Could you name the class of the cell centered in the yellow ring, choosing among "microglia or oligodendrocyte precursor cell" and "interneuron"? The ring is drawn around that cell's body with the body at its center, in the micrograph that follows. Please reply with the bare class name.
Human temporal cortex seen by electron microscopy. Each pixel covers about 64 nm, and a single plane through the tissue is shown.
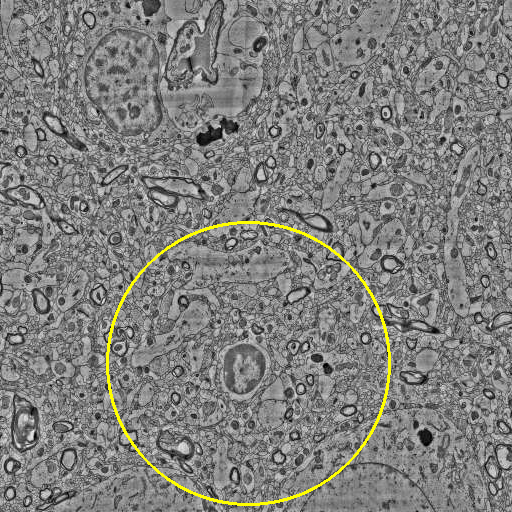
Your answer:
microglia or oligodendrocyte precursor cell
